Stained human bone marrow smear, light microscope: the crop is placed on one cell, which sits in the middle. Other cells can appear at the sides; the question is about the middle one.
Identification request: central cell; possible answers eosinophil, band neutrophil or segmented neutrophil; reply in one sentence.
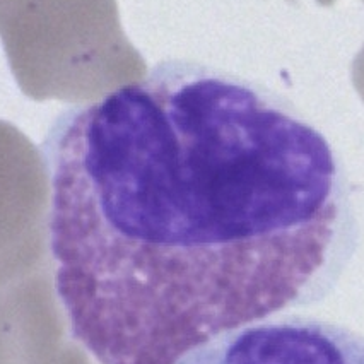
Where the crop is centred, there is an eosinophil.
